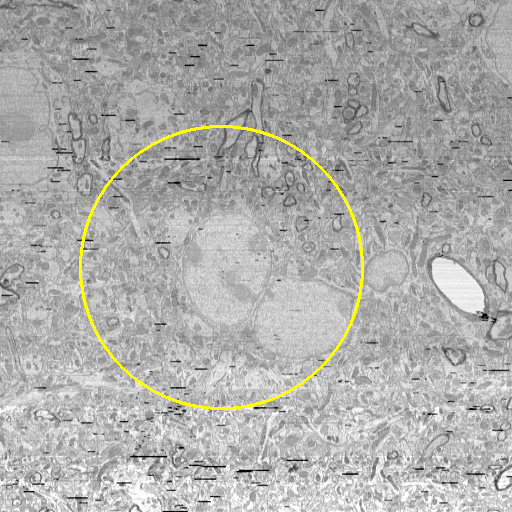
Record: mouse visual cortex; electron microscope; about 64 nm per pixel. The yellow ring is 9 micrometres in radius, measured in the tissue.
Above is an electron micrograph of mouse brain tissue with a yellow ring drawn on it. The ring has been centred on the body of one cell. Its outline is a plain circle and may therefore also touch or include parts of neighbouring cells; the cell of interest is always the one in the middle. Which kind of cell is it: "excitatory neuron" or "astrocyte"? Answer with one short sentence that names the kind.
The ring's central cell body is that of an astrocyte.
